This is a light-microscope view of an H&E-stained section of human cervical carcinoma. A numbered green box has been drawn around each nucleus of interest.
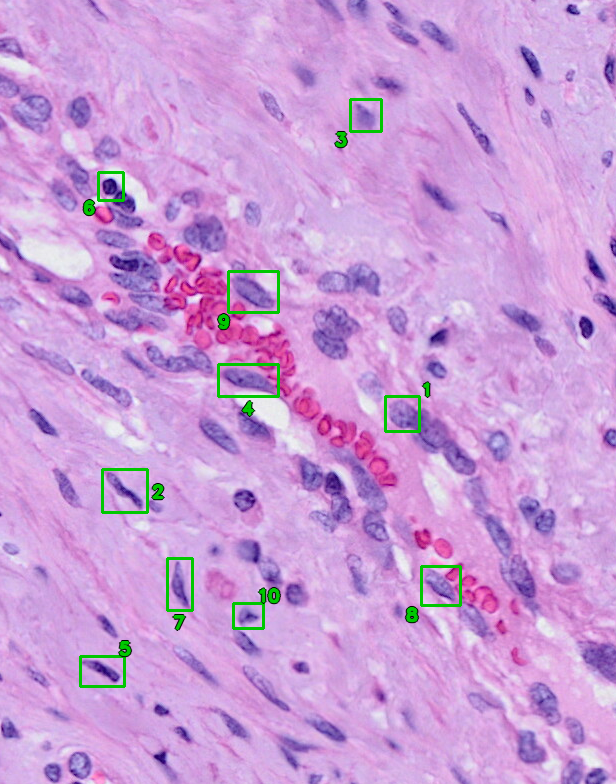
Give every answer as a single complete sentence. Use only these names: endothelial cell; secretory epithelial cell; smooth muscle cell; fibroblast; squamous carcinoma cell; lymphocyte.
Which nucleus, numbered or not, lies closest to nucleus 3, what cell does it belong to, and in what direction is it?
Lying above and to the right of nucleus 3, the nearest nucleus is that of a smooth muscle cell.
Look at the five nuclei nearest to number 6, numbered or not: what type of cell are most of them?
Around number 6, most of the five nearest nuclei are those of endothelial cells.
